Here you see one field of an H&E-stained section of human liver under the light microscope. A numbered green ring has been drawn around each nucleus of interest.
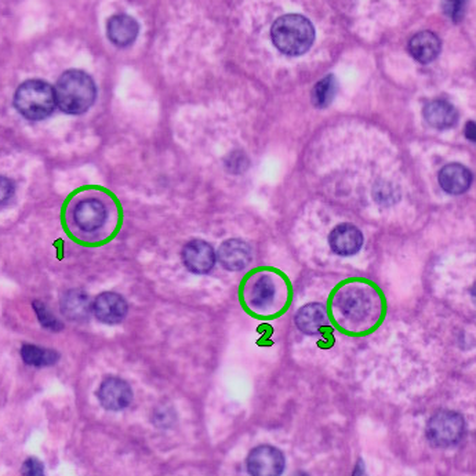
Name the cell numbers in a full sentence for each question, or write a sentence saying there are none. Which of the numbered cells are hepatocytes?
The cells marked 1 and 3 in the section are hepatocytes.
